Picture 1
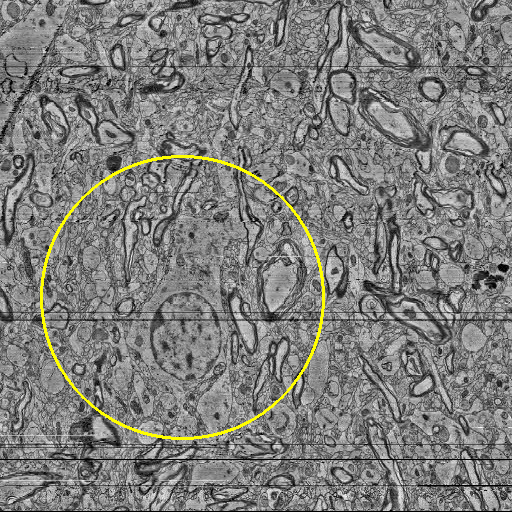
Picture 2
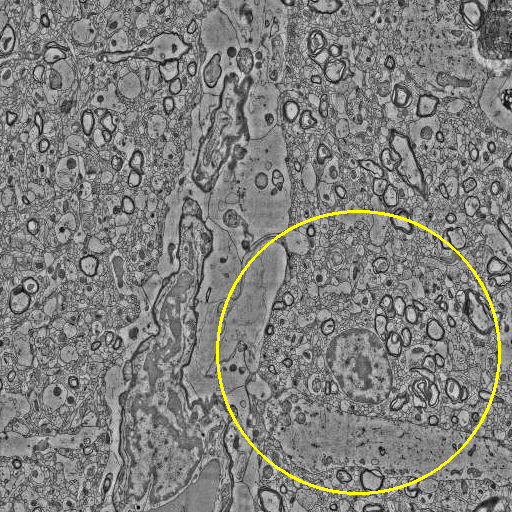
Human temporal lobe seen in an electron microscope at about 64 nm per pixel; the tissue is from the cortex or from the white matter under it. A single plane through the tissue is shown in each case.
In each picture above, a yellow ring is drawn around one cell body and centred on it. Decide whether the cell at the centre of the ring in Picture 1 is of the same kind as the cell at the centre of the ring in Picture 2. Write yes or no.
yes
